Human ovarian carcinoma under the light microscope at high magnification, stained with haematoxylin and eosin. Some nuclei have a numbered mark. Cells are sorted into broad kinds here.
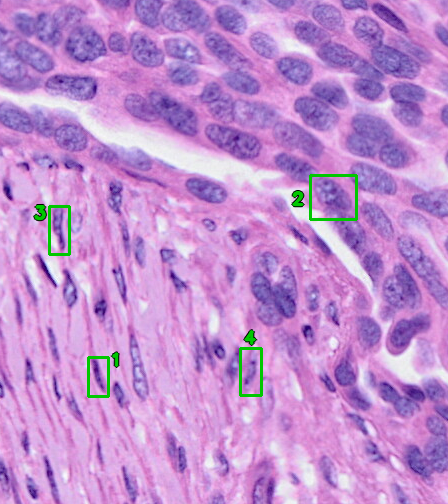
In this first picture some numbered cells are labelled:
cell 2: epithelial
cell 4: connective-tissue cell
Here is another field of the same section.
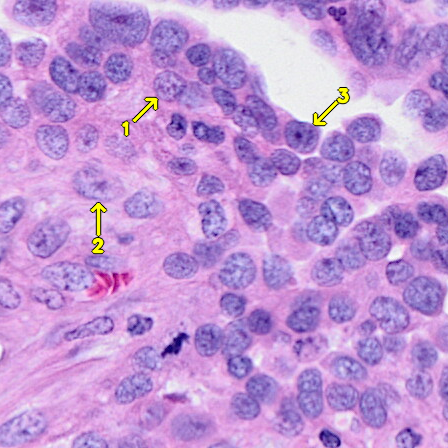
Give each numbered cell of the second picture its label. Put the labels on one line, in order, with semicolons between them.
epithelial; connective-tissue cell; epithelial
